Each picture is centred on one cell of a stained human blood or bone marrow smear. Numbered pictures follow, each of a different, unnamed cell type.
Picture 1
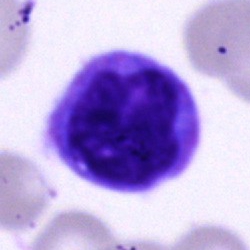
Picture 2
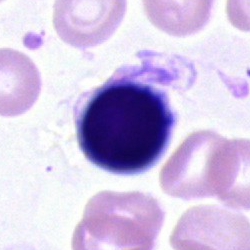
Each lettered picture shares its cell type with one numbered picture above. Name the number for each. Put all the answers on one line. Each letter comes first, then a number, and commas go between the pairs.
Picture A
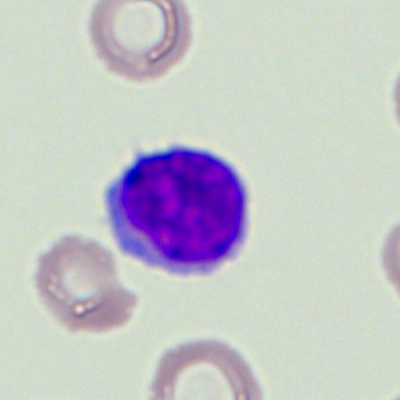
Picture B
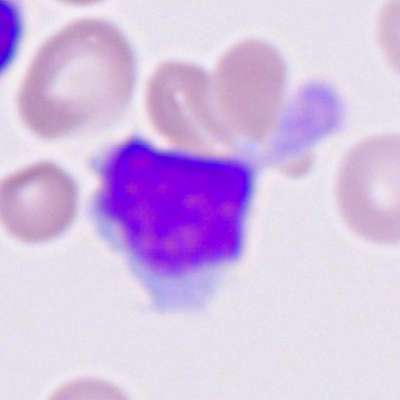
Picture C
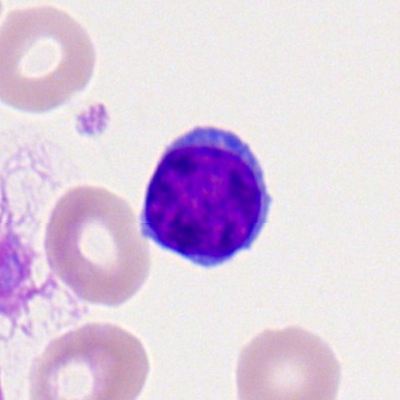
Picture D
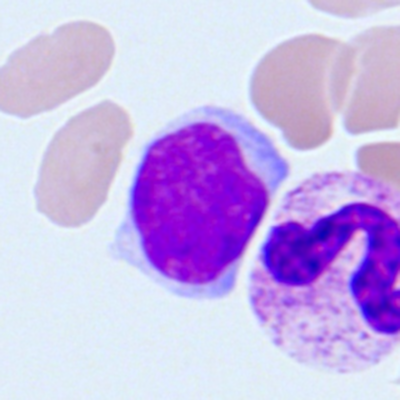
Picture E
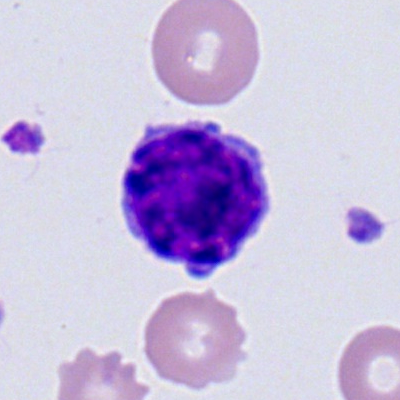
A 2, B 2, C 2, D 2, E 2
